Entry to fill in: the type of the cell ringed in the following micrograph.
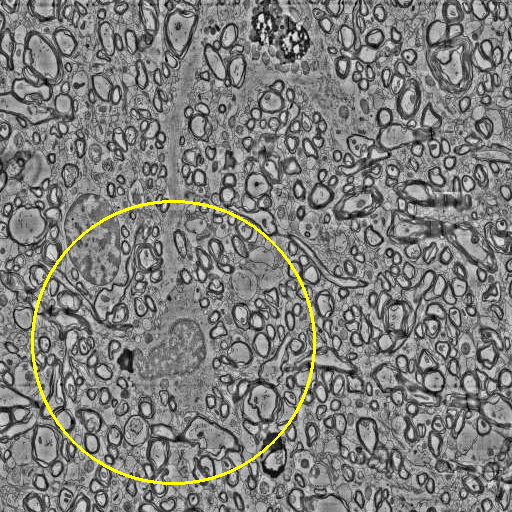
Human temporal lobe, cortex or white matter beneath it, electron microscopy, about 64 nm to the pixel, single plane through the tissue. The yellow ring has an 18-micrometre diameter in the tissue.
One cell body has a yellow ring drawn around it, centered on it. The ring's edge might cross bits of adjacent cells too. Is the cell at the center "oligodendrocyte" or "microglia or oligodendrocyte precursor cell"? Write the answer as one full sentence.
This entry names an oligodendrocyte as the cell whose body lies at the ring's center.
